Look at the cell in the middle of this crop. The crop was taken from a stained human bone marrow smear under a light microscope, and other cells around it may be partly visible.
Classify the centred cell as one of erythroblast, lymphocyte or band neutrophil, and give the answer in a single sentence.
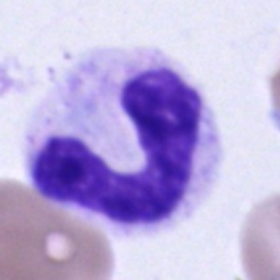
Looking at the middle of the crop, the cell there is a band neutrophil.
